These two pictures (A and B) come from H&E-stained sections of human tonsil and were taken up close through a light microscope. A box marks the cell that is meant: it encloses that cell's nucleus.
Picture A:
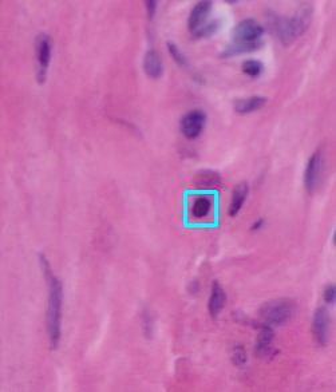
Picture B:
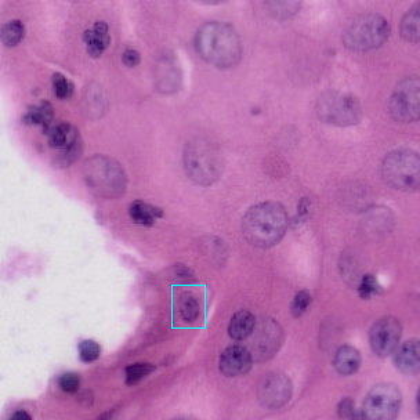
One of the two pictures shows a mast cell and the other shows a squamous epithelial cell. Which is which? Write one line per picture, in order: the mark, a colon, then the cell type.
A: mast cell
B: squamous epithelial cell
